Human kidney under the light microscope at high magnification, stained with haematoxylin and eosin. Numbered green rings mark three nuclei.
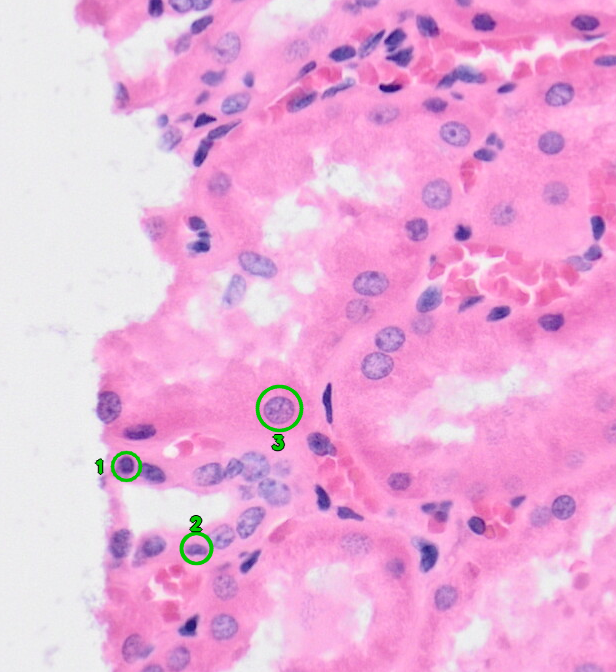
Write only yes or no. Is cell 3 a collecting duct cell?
no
